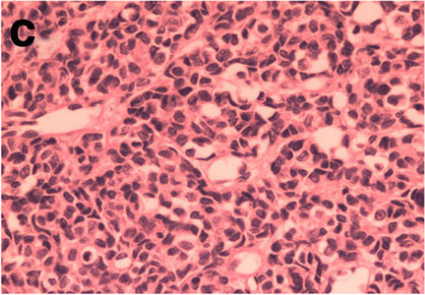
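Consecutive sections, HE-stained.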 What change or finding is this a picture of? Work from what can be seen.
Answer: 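Densely packed sheets of cells with dark, crowded nuclei. Scant cytoplasm and little intervening stroma. Many dilated thin-walled vascular spaces between cell groups. That points to this answer: tumor.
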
